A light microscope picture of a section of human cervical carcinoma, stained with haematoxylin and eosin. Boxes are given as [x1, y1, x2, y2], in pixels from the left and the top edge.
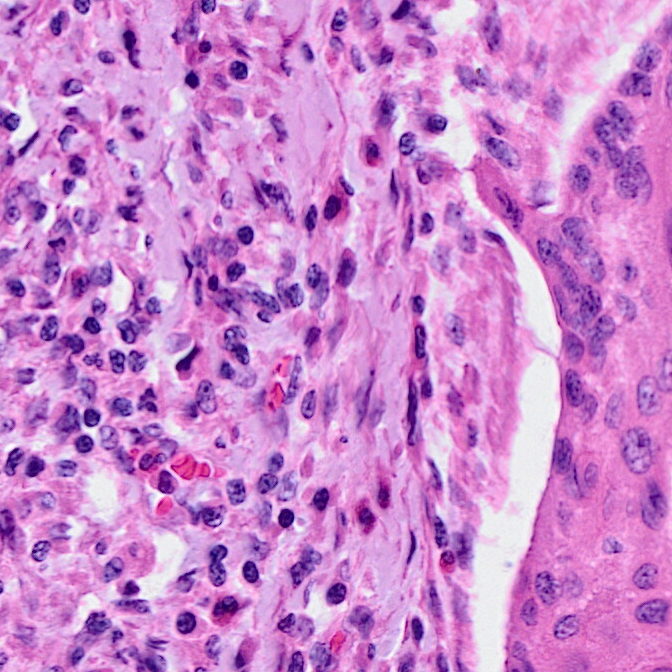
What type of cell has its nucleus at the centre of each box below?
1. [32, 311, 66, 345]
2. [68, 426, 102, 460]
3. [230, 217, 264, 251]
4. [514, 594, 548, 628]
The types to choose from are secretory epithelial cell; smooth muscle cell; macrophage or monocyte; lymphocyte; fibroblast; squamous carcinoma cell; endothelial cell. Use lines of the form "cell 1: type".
cell 1: lymphocyte
cell 2: lymphocyte
cell 3: lymphocyte
cell 4: squamous carcinoma cell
